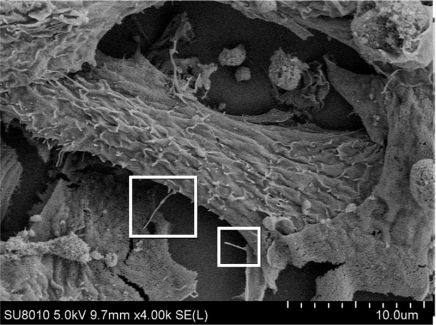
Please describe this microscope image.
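This scanning electron micrograph shows a large, flattened, spread cultured cell lying on a smooth substrate, with neighbouring cells at its edges. Its surface is densely covered by short, wavy ruffles and folds. Within the outlined areas, single thin, rod-like primary cilia protrude from the cell surface, clearly longer and straighter than the surrounding ruffles. Small rounded bodies lie on the substrate in the open space beside the cell.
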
